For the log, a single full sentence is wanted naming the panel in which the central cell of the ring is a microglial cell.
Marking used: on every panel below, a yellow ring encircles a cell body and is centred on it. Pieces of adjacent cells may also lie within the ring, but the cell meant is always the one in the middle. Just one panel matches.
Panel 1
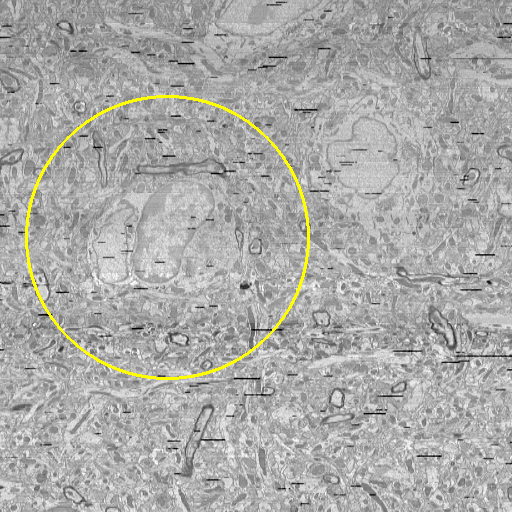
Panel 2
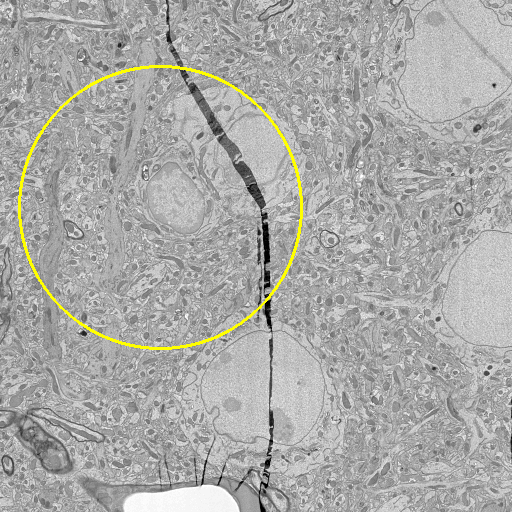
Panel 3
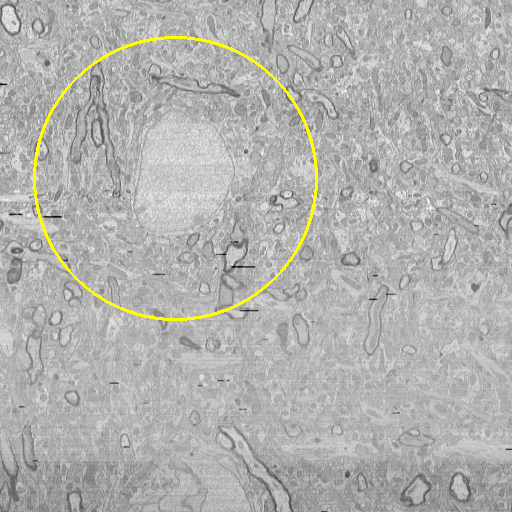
The cell in the middle of the ring in panel 2 is the one asked for.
